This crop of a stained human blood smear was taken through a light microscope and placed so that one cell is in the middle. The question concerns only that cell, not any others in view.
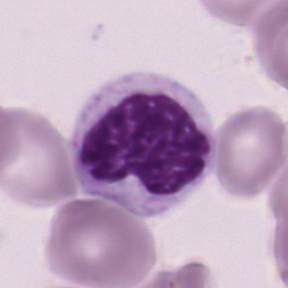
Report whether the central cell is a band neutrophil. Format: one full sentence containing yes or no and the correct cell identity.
No, the central cell is a metamyelocyte, not a band neutrophil.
